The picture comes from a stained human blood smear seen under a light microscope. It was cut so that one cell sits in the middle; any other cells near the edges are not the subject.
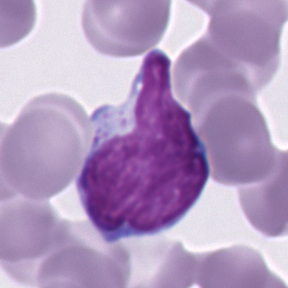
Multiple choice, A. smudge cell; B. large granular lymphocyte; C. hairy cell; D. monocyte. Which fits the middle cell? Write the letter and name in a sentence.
The correct option, B, names the middle cell as a large granular lymphocyte.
